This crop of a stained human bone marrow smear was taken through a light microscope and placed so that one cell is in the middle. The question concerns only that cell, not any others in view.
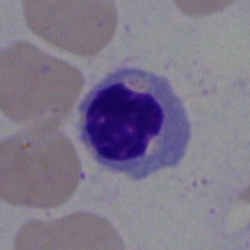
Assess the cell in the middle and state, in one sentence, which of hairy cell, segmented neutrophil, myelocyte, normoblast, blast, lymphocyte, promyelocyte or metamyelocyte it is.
The centrally placed cell is classified as a normoblast.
